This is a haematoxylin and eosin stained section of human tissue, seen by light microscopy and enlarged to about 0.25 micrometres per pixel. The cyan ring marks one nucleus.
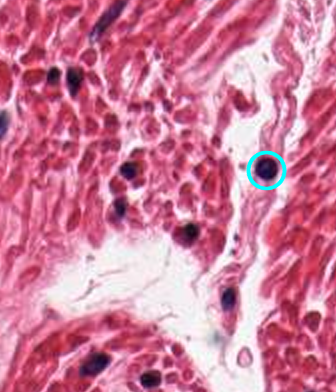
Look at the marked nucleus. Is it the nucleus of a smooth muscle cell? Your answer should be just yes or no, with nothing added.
no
